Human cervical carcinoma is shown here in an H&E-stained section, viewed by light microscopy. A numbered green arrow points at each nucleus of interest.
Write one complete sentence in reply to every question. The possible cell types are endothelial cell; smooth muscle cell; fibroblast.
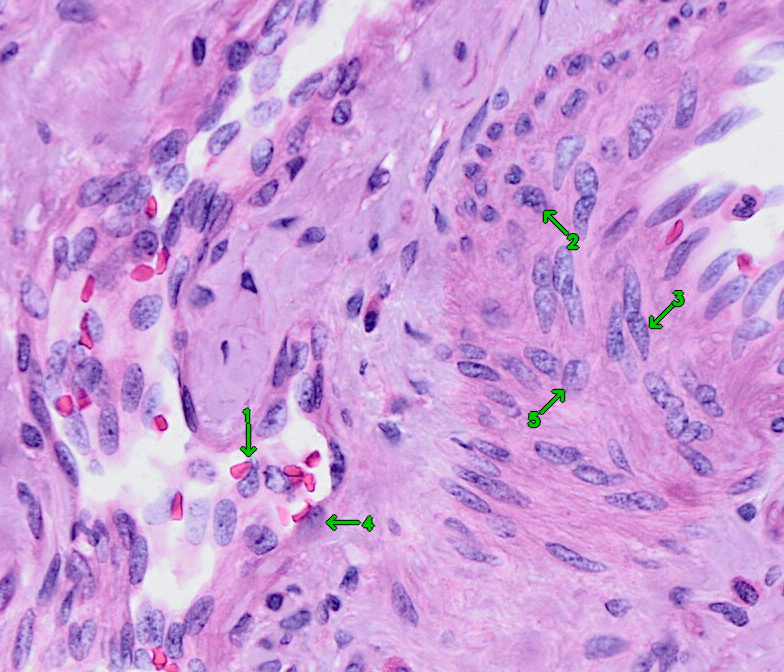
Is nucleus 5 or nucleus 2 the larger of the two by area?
Nucleus 5 is the larger one, covering about 1.5 times the area of nucleus 2.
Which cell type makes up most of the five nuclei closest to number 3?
Smooth muscle cells make up most of the five nuclei closest to number 3.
